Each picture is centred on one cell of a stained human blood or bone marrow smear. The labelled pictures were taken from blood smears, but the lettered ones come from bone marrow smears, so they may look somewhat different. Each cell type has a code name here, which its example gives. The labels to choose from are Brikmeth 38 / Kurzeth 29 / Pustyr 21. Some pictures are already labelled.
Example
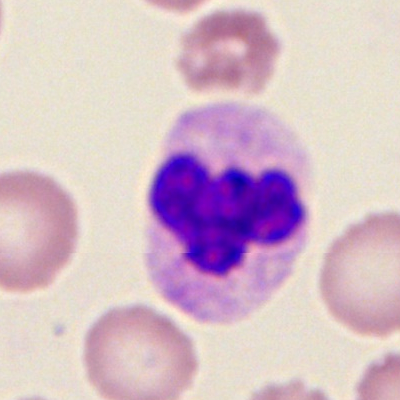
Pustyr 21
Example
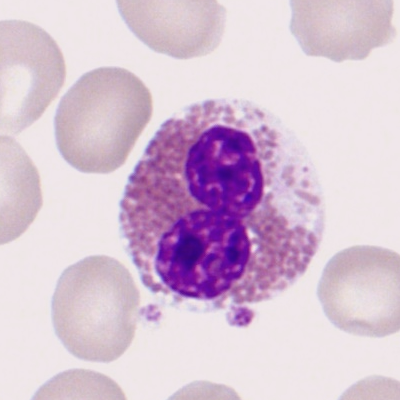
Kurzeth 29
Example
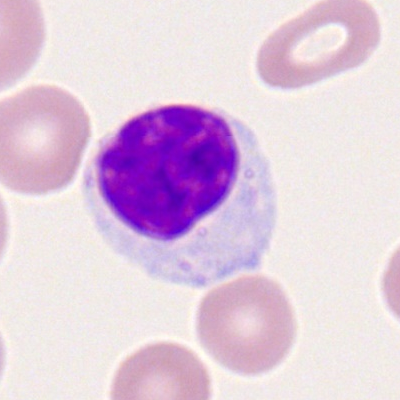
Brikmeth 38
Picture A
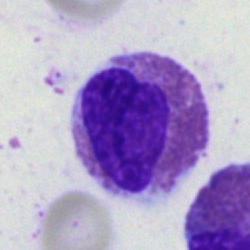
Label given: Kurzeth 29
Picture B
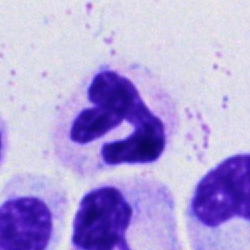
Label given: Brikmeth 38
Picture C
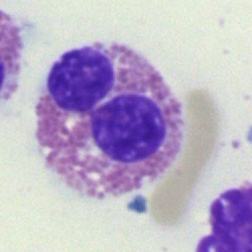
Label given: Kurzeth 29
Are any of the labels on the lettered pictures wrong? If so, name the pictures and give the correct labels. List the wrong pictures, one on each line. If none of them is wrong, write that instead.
B: not Brikmeth 38 but Pustyr 21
